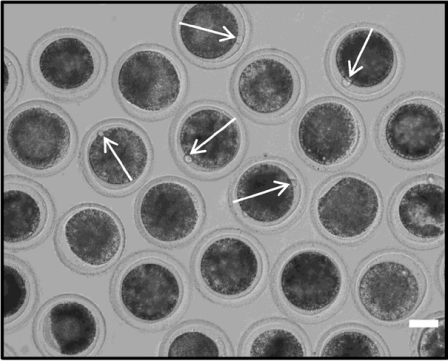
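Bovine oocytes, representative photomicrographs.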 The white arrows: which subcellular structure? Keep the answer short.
First polar bodies.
